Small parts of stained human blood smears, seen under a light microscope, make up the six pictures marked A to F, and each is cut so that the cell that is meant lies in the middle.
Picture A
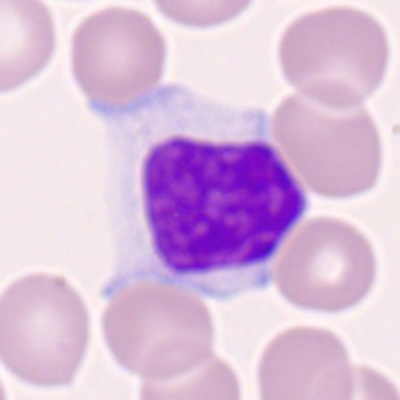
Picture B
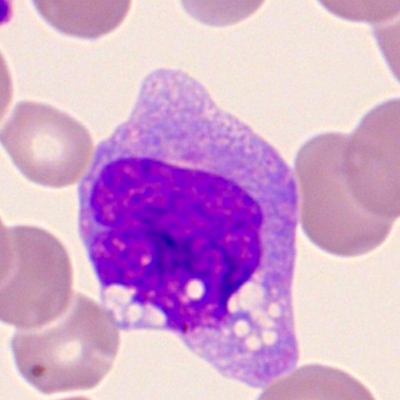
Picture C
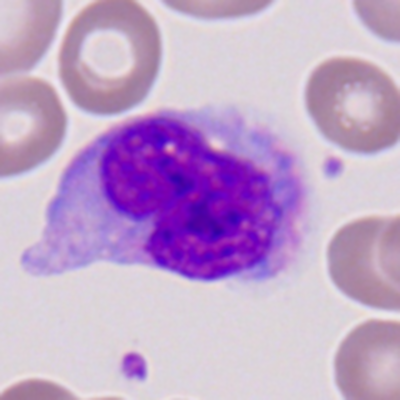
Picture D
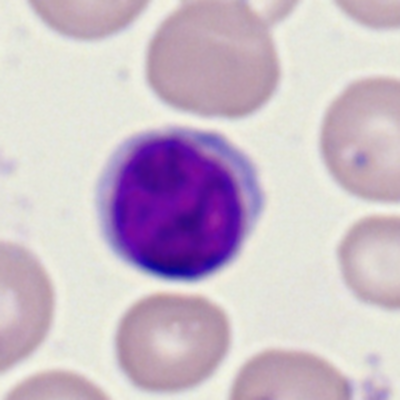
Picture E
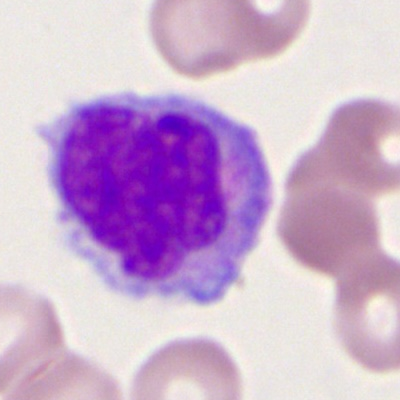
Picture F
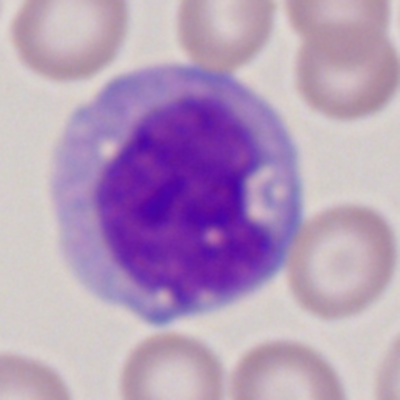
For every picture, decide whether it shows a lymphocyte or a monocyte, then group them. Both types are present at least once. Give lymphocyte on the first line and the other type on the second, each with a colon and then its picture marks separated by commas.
lymphocyte: A, D
monocyte: B, C, E, F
